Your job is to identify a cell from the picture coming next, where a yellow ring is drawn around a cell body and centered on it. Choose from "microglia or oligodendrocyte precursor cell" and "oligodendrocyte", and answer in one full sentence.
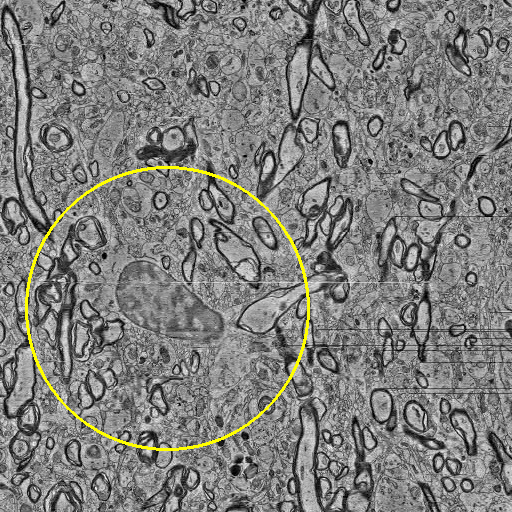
Centered in the yellow ring of the picture is the body of a microglial cell or oligodendrocyte precursor cell.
